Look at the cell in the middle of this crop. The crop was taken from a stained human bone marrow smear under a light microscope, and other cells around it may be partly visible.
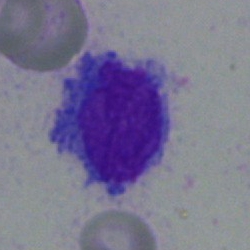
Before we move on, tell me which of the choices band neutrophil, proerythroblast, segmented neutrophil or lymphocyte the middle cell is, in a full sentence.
The cell in the middle of the field of view is a lymphocyte.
